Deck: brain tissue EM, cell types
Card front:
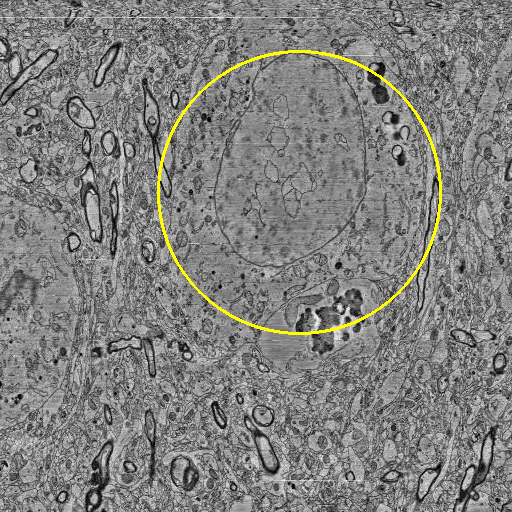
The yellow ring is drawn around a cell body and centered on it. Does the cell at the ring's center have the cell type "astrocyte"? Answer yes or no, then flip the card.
no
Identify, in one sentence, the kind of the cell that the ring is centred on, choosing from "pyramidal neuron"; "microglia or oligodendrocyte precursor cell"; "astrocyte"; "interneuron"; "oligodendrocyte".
The cell circled by the yellow ring is a pyramidal neuron.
